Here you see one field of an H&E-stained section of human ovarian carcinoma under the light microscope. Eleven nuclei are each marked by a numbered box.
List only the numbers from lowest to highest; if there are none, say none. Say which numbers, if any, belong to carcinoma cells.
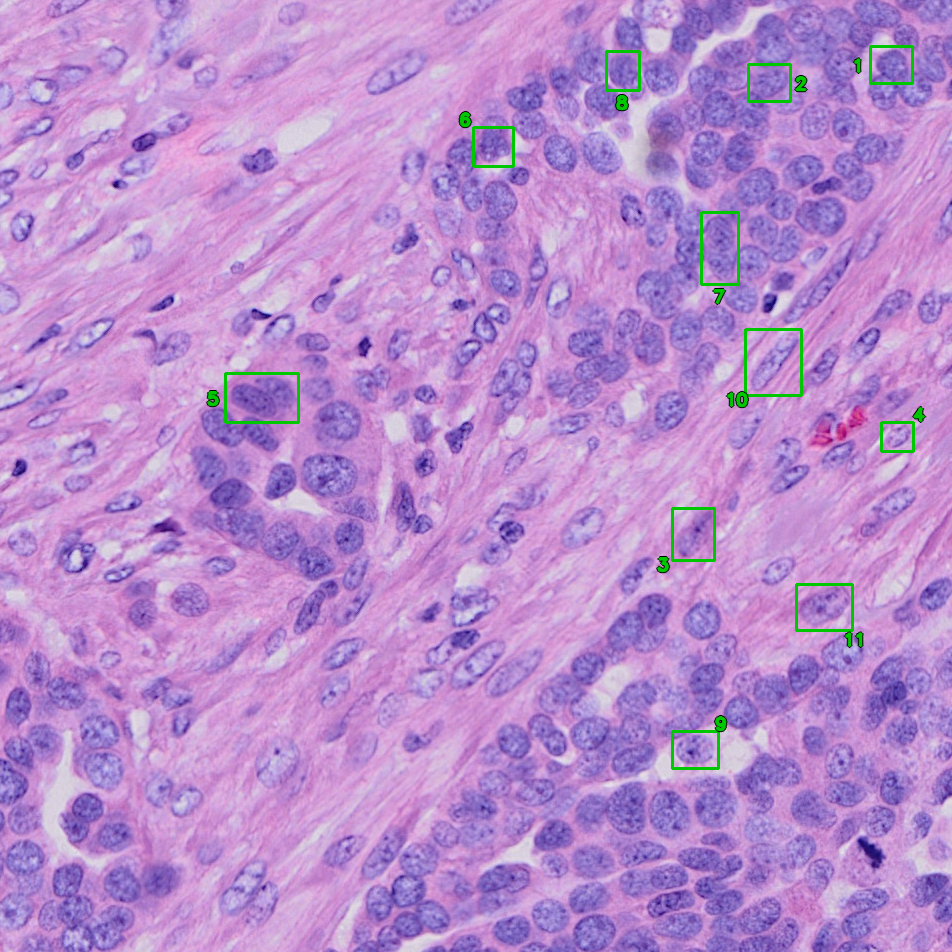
1, 2, 5, 6, 7, 8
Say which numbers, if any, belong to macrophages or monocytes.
9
